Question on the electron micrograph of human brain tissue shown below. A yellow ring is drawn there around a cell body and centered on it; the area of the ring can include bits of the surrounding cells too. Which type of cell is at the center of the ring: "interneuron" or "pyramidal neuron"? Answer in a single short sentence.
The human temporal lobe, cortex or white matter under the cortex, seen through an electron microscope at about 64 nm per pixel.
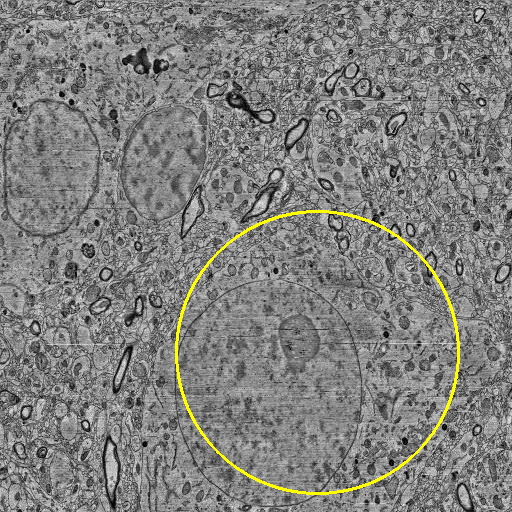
The ring is centered on a pyramidal neuron.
